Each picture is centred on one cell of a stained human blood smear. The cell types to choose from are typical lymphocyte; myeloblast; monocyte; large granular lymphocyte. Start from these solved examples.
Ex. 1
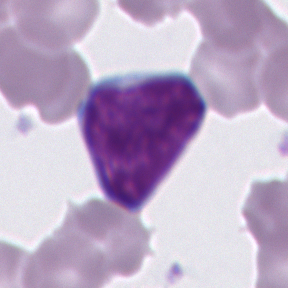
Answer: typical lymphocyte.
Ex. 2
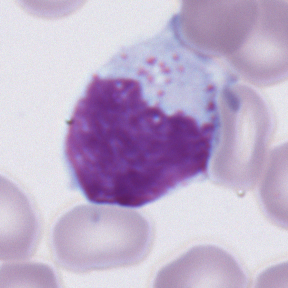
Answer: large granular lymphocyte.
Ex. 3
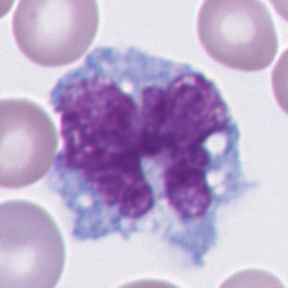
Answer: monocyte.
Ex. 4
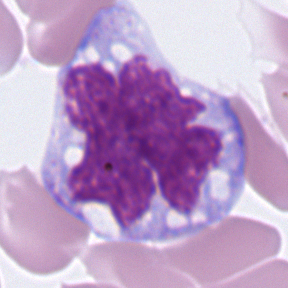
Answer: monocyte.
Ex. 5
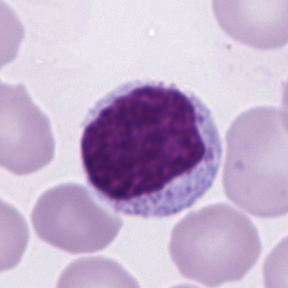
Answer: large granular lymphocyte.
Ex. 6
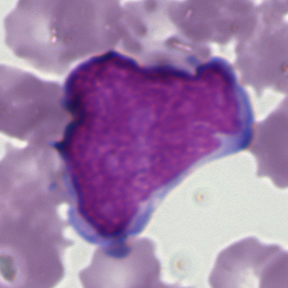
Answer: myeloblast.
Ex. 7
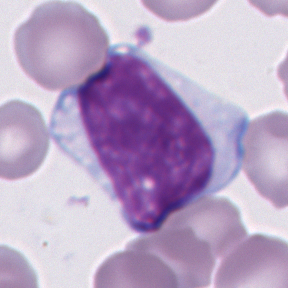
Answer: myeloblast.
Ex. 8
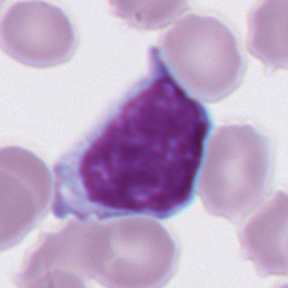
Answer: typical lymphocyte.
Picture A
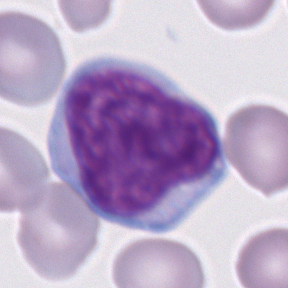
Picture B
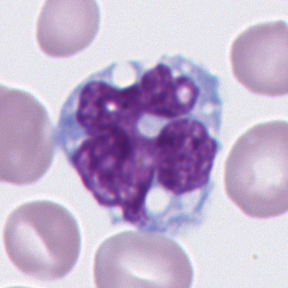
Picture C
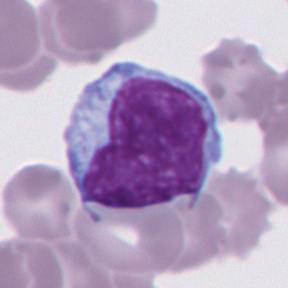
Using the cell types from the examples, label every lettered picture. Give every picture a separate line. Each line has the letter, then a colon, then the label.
A: myeloblast.
B: monocyte.
C: typical lymphocyte.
